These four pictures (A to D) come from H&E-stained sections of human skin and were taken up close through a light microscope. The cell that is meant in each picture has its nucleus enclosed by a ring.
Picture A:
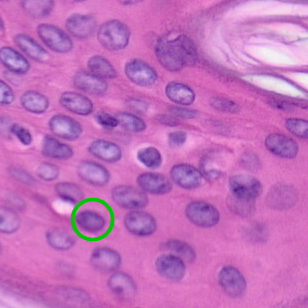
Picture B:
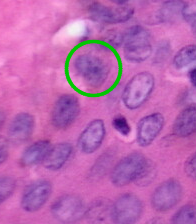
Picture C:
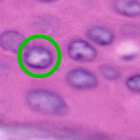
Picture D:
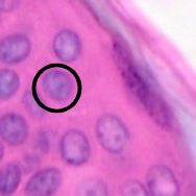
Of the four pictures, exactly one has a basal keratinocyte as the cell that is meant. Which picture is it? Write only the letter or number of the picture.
B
